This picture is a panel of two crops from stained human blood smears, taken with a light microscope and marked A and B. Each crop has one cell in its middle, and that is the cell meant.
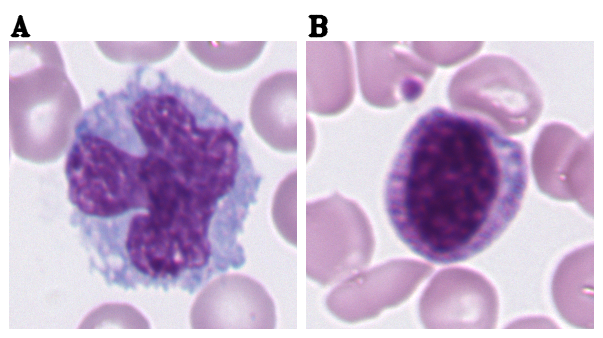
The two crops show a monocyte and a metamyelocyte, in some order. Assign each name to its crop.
A: monocyte
B: metamyelocyte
